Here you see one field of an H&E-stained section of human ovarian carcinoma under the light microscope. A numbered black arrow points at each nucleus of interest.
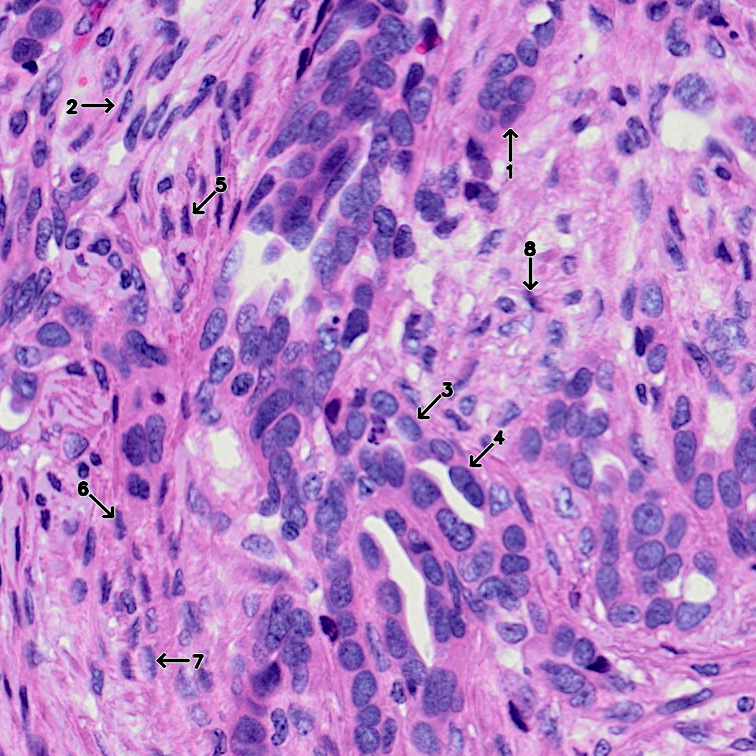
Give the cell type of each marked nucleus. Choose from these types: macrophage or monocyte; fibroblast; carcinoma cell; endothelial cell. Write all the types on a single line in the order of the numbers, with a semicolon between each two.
carcinoma cell; fibroblast; carcinoma cell; carcinoma cell; fibroblast; fibroblast; fibroblast; fibroblast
